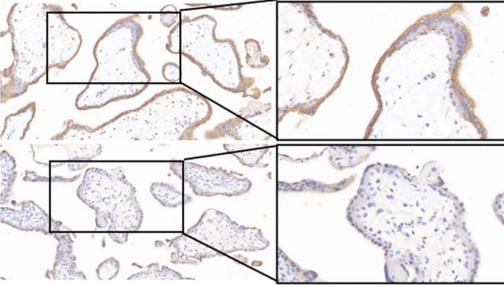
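Several cross-sectioned placental villi lie separated by clear spaces, each outlined by a thin covering layer of trophoblast. In the upper images this outer layer, the syncytiotrophoblast with underlying cytotrophoblast cells, is stained a continuous brown, sharply marking the villous border, while the loose stroma inside holds scattered blue nuclei and pale matrix. In the lower images the villi have the same architecture, a thin epithelial rim over loose stroma with small vessels and spindle-shaped stromal cells, but the brown in the rim is fainter and patchier, leaving the surface mostly blue. The enlarged boxes show the border layer and its nuclei more clearly.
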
